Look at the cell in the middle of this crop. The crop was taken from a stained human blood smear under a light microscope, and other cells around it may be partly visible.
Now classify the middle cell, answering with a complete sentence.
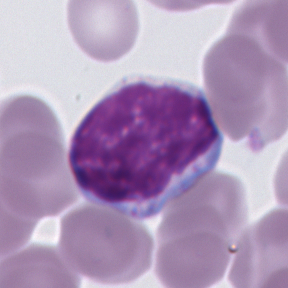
The cell at the middle of the frame should be recorded as a large granular lymphocyte.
